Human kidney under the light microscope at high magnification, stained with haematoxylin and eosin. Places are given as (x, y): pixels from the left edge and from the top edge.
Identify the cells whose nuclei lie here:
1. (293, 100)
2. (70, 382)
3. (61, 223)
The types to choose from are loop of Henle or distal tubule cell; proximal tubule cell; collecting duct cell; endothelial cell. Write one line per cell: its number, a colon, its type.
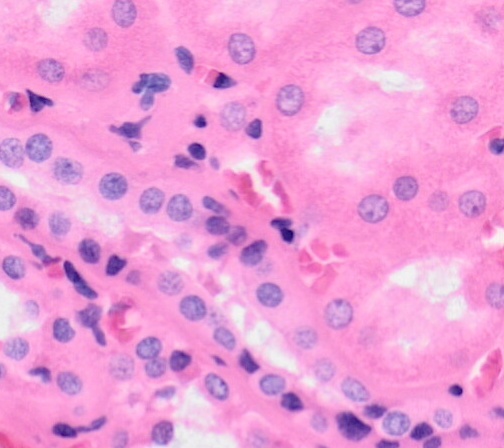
1: proximal tubule cell
2: loop of Henle or distal tubule cell
3: collecting duct cell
